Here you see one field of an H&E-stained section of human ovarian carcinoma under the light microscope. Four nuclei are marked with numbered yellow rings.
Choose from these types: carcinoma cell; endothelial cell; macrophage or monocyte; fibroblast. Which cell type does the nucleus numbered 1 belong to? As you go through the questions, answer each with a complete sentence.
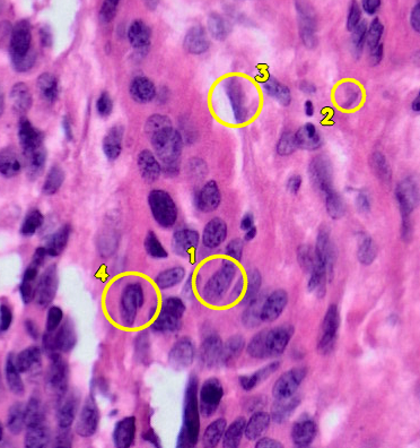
The numbered cell 1 is identified here as a carcinoma cell.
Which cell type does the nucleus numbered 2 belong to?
The cell tagged with 2 in this tissue section is a fibroblast.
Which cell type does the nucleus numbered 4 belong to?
Marked with the number 4, this cell is an endothelial cell.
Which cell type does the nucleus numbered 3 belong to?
Identified by the number 3, the cell is a fibroblast.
